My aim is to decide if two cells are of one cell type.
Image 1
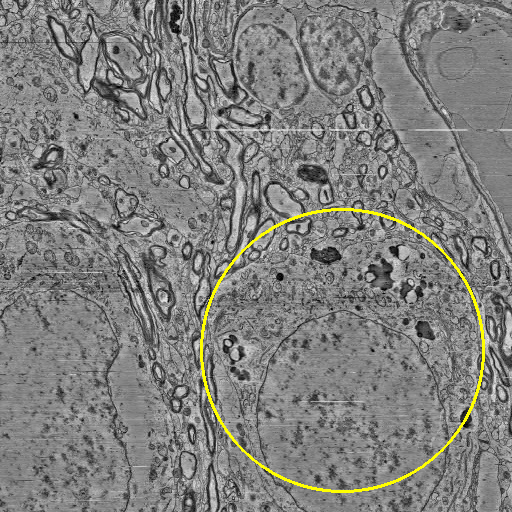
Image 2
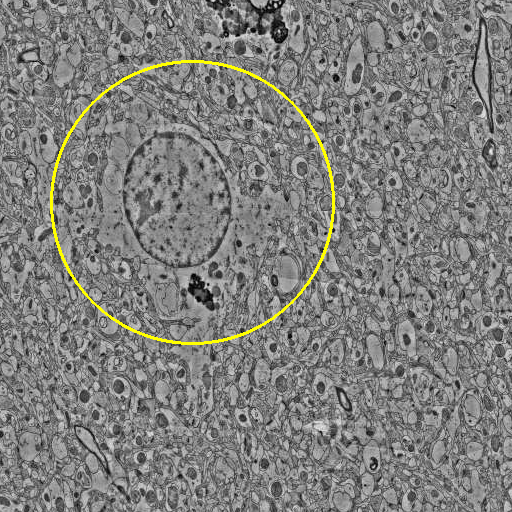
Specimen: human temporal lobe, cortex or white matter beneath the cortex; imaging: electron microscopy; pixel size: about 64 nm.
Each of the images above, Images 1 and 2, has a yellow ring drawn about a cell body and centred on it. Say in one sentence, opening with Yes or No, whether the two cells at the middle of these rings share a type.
No, in Images 1 and 2 the cells at the middle of the rings fall into two types.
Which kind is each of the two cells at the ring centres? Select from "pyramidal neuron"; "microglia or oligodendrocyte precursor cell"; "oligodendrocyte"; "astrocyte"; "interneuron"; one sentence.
The cell at the centre of the ring is a pyramidal neuron in the first picture and an astrocyte in the second.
